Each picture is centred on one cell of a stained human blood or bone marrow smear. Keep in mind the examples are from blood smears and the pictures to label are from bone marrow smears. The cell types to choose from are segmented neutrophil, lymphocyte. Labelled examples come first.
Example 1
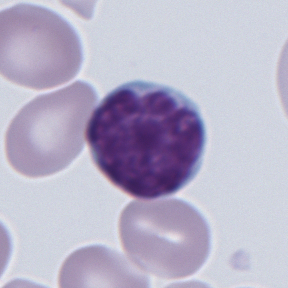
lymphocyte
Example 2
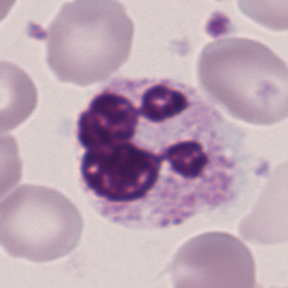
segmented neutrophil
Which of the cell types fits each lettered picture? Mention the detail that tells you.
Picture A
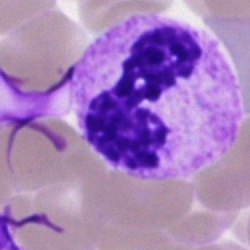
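segmented neutrophil: The cytoplasm is abundant and pale lilac-pink.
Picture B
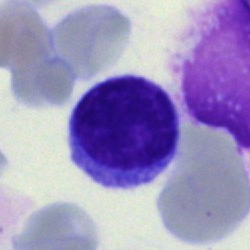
lymphocyte: The cytoplasm is scant.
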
